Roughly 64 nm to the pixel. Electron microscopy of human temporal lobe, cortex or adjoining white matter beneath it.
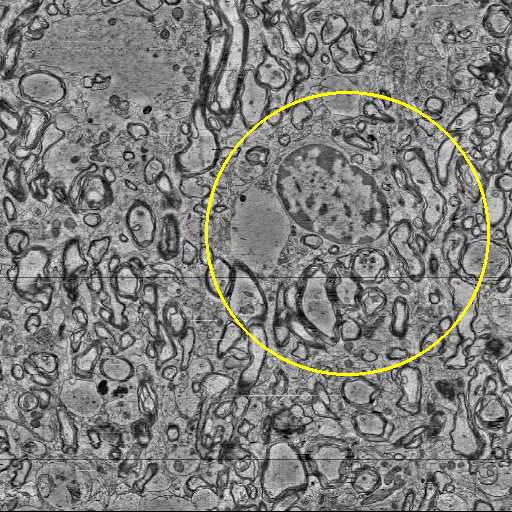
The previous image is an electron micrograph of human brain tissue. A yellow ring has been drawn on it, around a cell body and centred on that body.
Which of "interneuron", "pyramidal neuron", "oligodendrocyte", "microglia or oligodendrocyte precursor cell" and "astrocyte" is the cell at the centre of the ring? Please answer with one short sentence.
The cell body at the centre of the ring belongs to a microglial cell or oligodendrocyte precursor cell.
